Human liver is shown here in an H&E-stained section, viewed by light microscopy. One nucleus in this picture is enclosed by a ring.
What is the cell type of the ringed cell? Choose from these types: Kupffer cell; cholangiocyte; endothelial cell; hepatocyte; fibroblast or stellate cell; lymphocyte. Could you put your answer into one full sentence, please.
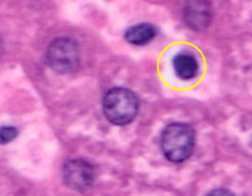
In terms of identity, the ringed cell is a lymphocyte.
